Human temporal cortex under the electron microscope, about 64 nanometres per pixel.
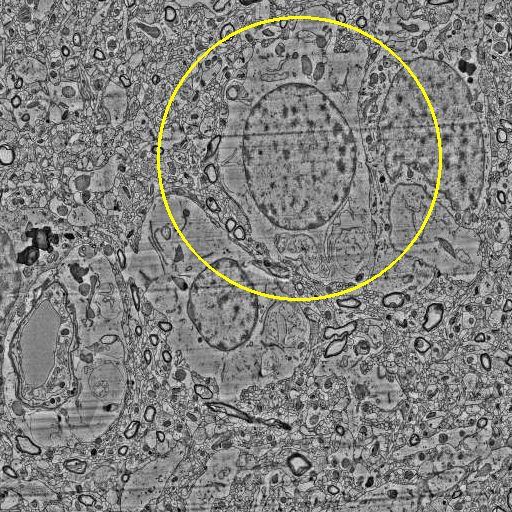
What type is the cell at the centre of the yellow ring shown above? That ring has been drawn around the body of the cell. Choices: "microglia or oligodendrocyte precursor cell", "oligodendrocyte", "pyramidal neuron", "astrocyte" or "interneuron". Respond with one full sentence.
My answer is that an astrocyte lies at the centre of the yellow ring above.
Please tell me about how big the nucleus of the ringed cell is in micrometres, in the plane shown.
About 9 by 7 micrometers, in this plane.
